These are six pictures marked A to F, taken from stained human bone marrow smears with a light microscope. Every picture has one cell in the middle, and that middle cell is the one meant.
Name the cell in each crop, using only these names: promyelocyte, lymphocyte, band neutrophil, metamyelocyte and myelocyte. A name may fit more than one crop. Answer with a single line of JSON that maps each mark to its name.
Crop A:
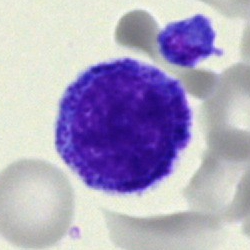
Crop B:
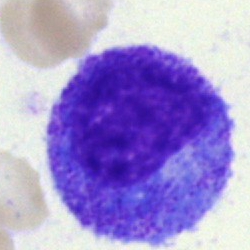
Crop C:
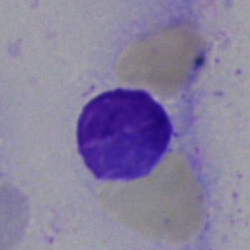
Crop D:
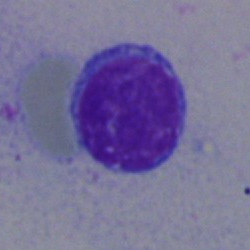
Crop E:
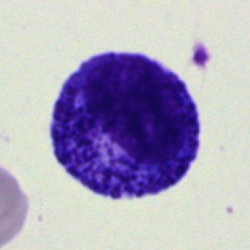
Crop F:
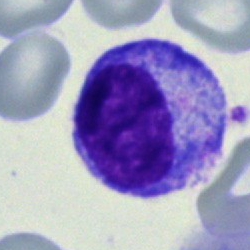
{"A": "promyelocyte", "B": "promyelocyte", "C": "lymphocyte", "D": "lymphocyte", "E": "promyelocyte", "F": "promyelocyte"}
